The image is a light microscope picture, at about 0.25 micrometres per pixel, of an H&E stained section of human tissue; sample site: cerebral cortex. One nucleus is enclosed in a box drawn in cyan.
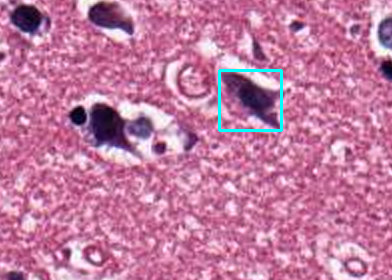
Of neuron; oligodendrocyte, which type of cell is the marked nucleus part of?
neuron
